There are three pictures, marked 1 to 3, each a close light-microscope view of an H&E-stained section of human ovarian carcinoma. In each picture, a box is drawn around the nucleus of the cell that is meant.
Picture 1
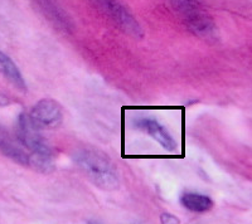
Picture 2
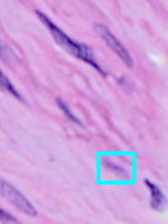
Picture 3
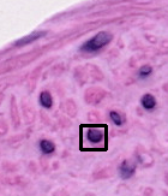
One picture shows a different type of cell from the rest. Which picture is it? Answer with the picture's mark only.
1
